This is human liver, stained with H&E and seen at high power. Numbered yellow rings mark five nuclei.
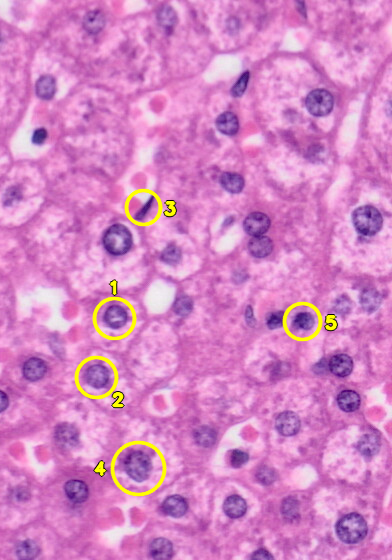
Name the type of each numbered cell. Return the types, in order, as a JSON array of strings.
["hepatocyte", "hepatocyte", "endothelial cell", "hepatocyte", "fibroblast or stellate cell"]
